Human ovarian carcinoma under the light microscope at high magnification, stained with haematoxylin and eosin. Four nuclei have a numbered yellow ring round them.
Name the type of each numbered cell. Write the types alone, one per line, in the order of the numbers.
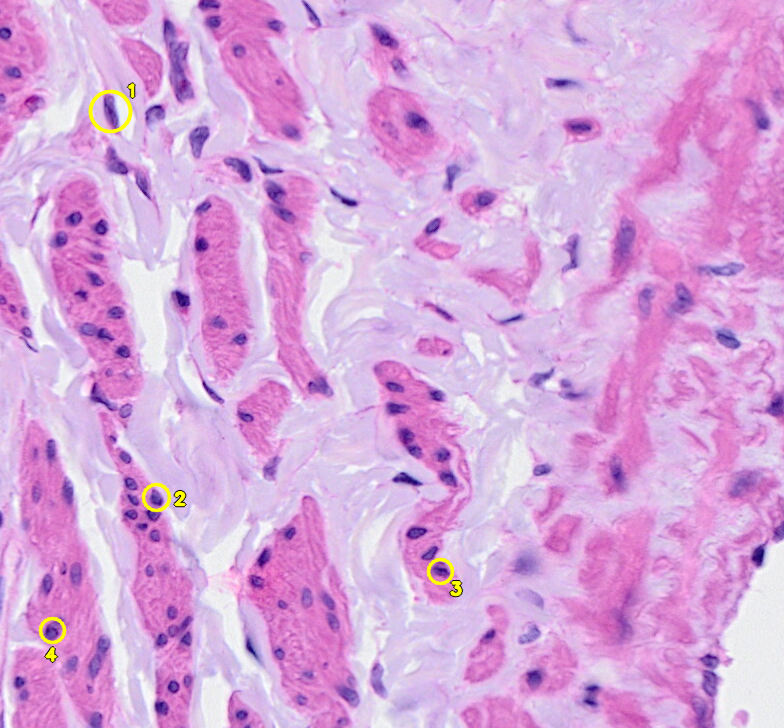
fibroblast
smooth muscle cell
smooth muscle cell
smooth muscle cell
